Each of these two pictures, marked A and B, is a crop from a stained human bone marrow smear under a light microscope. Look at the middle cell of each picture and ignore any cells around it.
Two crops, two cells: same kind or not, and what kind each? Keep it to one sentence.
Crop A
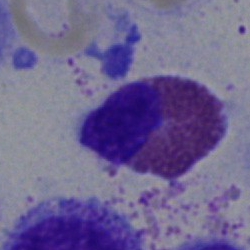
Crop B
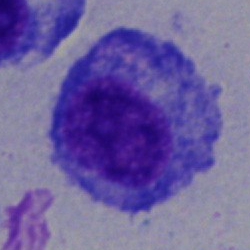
No, crop A contains an eosinophil; a promyelocyte is what crop B contains.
